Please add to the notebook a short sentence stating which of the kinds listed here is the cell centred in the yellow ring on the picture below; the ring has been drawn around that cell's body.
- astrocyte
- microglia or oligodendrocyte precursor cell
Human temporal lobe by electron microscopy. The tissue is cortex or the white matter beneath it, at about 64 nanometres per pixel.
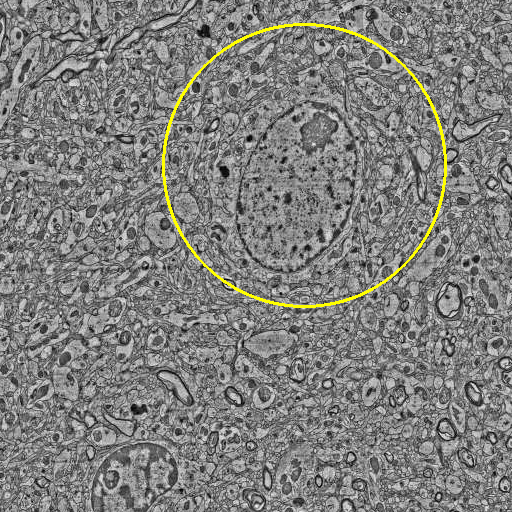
The cell centred in the yellow ring is an astrocyte.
